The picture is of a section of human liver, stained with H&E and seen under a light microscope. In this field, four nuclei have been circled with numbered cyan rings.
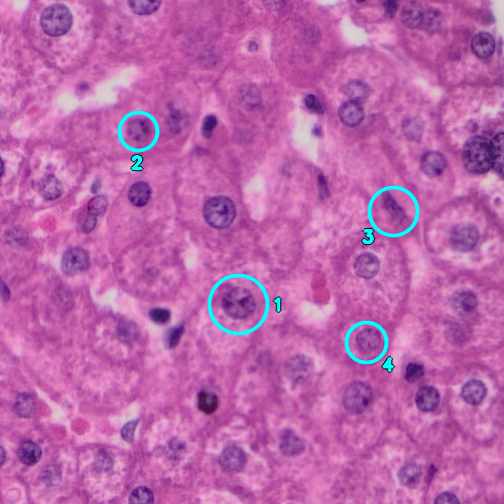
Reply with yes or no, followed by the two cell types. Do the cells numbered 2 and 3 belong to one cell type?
No, just to clarify, cell 2 is a hepatocyte and cell 3 is a Kupffer cell.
